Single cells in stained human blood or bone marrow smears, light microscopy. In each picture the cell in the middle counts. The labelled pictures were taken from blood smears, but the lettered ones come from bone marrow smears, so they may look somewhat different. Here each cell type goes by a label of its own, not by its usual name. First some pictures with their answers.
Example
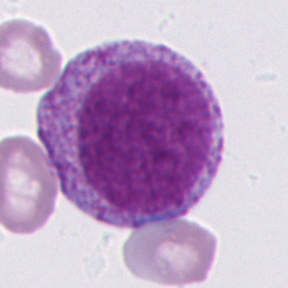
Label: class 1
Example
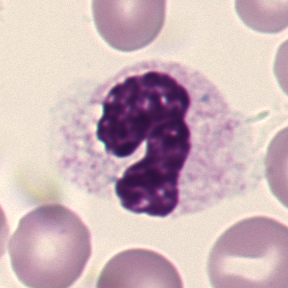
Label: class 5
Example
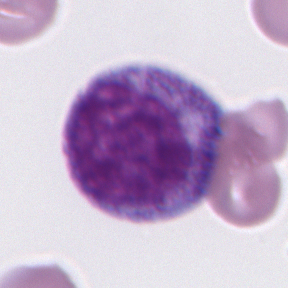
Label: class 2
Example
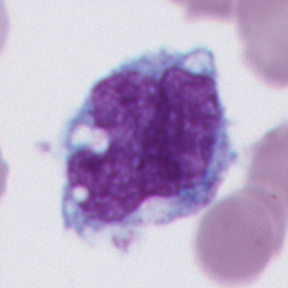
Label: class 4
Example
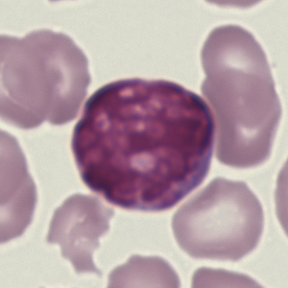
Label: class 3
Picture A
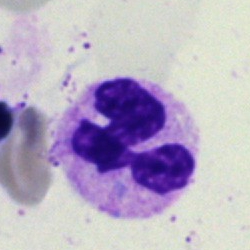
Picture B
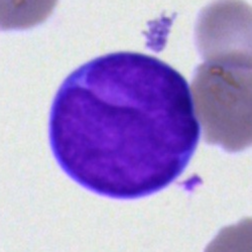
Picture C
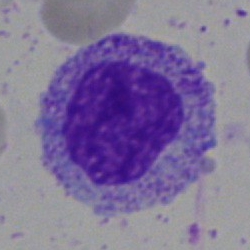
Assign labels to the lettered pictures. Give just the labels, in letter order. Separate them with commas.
class 5, class 3, class 2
